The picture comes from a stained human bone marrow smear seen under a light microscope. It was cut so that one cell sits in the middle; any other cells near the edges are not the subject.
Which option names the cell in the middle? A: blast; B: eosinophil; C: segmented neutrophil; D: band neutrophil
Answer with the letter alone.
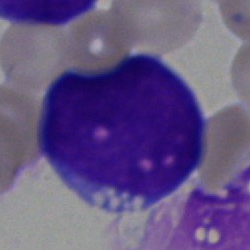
A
